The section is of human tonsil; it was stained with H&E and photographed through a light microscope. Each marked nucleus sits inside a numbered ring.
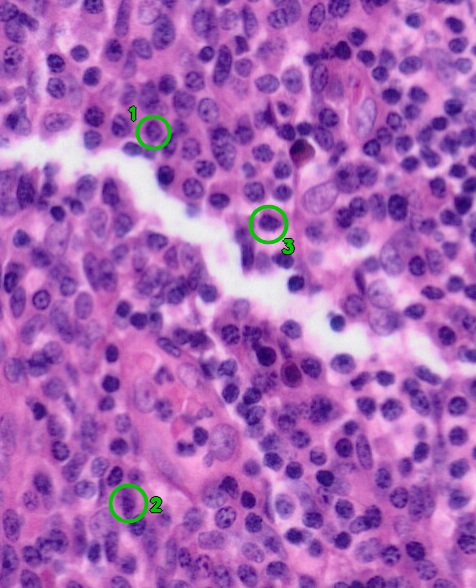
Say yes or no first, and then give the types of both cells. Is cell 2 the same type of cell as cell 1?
No, cell 2 is a squamous epithelial cell and cell 1 is a plasma cell.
